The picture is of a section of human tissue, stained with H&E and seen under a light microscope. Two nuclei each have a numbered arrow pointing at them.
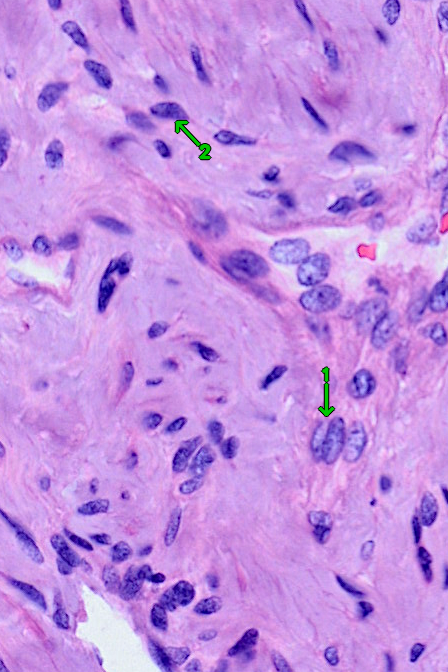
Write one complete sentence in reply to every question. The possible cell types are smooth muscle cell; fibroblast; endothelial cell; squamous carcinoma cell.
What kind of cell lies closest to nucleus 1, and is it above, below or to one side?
The nearest one is an endothelial cell, found to the right of nucleus 1.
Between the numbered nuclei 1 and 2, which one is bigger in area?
Number 1 is larger; its area is about 2 times that of number 2.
